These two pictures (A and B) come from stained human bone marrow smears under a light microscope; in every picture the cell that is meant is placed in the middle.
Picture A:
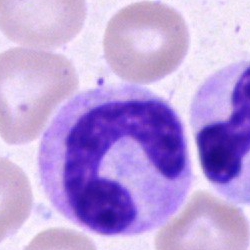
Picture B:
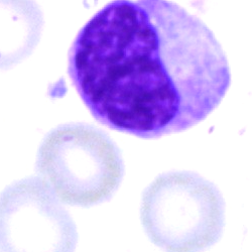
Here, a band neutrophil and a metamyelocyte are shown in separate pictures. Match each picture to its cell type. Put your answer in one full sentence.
Picture B shows a metamyelocyte, while picture A shows a band neutrophil.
